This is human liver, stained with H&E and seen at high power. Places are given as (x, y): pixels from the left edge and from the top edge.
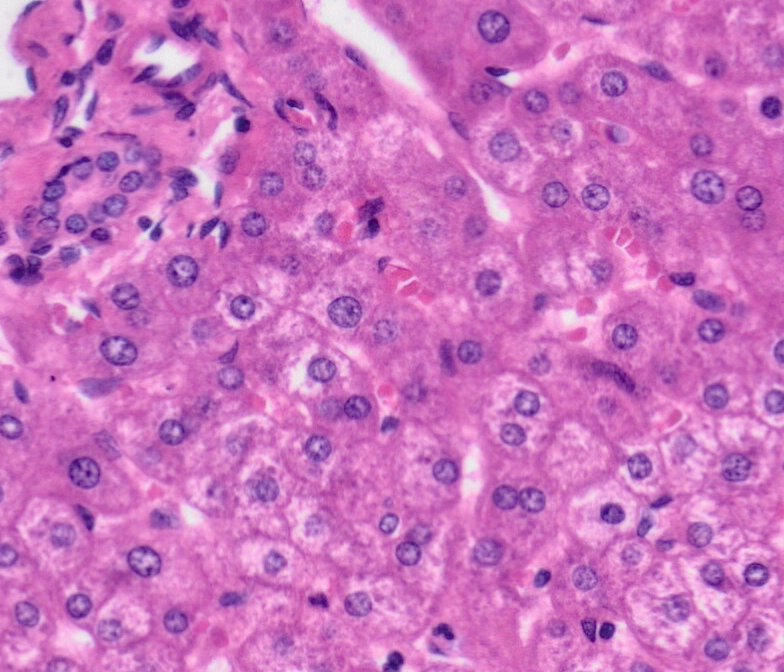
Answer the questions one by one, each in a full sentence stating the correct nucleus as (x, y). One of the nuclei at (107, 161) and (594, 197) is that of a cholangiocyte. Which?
Of the two nuclei, it is the one at (107, 161) that lies within a cholangiocyte.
